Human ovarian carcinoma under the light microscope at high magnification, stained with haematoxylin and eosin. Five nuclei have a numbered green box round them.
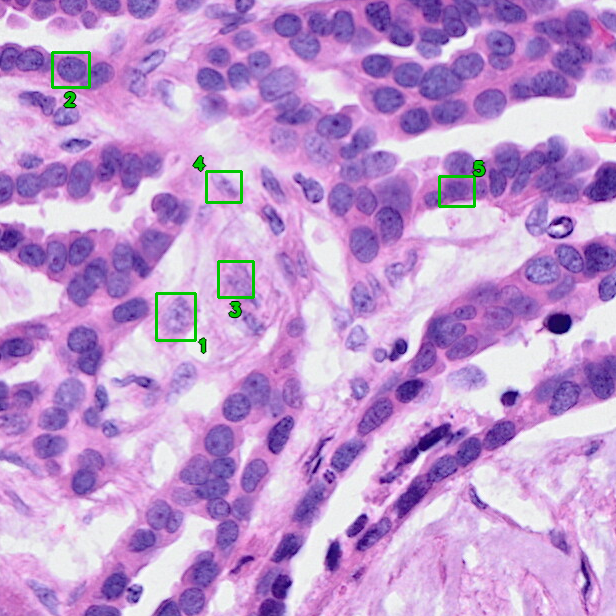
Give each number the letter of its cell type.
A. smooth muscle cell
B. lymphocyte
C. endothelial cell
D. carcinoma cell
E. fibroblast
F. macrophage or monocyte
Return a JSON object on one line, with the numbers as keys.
{"1": "E", "2": "D", "3": "E", "4": "E", "5": "D"}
